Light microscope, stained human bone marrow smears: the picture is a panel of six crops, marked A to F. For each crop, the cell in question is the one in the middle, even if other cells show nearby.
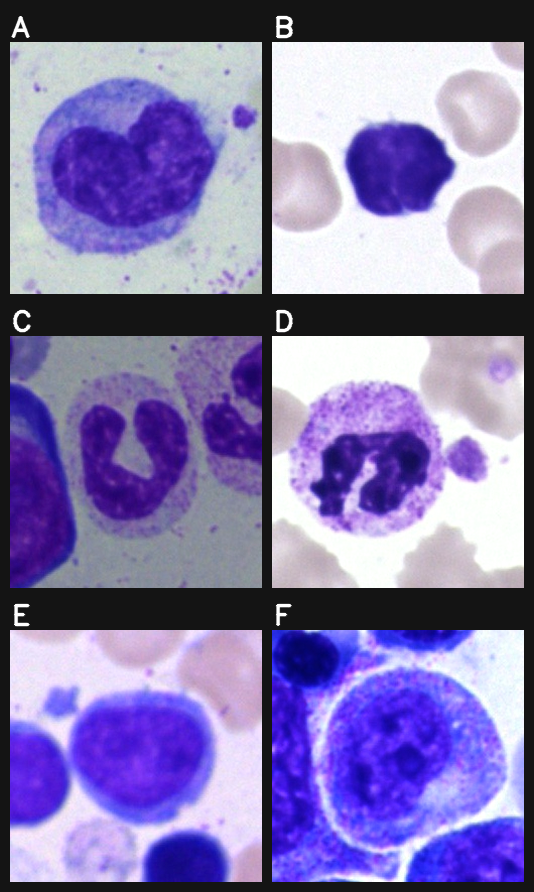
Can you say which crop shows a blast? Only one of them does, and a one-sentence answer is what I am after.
Crop E, of the crops presented, is the one showing a blast.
